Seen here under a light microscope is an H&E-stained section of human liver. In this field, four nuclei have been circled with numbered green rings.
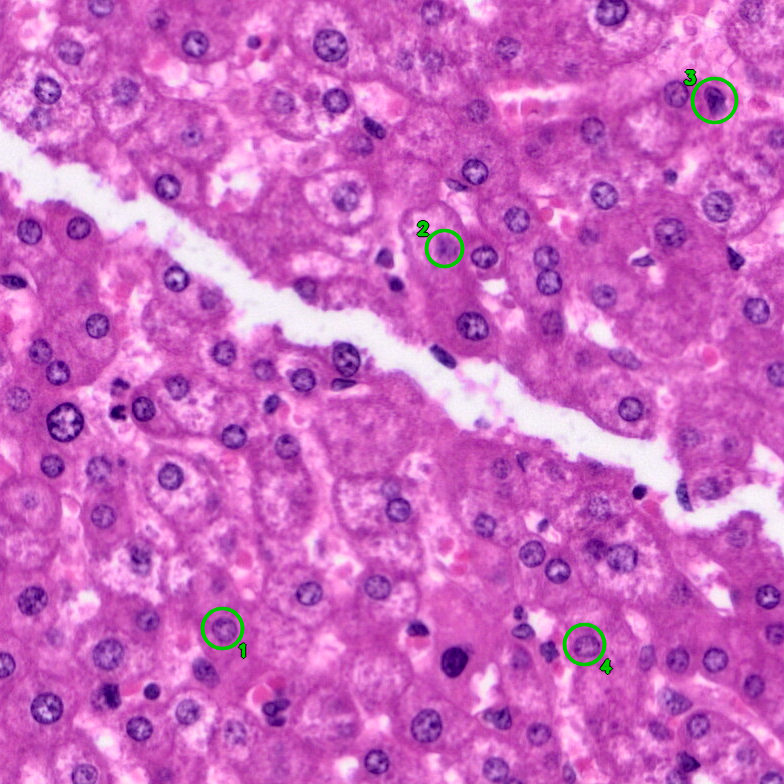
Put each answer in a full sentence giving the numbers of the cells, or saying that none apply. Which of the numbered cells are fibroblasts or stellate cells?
Only the cell with number 3 is a fibroblast or stellate cell.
